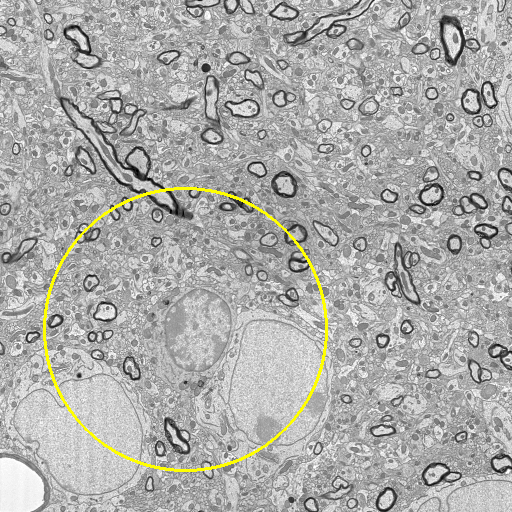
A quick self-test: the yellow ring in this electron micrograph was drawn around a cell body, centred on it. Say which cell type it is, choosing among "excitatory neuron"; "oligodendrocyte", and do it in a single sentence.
The yellow-ringed cell is an oligodendrocyte.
